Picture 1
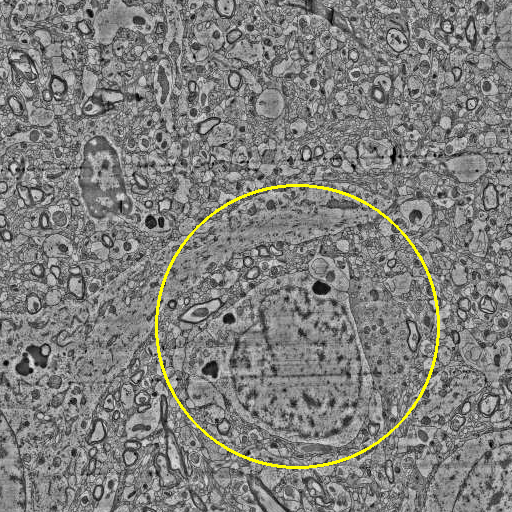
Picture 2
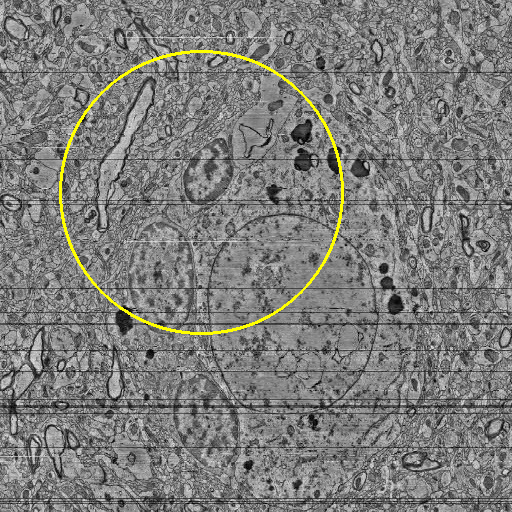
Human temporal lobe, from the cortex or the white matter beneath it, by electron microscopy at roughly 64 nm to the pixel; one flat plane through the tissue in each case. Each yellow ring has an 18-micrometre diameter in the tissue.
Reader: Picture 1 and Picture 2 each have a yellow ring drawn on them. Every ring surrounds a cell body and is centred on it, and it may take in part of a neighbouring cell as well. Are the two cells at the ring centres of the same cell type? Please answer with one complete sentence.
No, the cells are of two cell types.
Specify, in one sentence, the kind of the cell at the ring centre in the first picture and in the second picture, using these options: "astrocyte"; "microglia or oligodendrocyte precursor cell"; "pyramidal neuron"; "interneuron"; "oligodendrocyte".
So the first is an interneuron, the second a microglial cell or oligodendrocyte precursor cell.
